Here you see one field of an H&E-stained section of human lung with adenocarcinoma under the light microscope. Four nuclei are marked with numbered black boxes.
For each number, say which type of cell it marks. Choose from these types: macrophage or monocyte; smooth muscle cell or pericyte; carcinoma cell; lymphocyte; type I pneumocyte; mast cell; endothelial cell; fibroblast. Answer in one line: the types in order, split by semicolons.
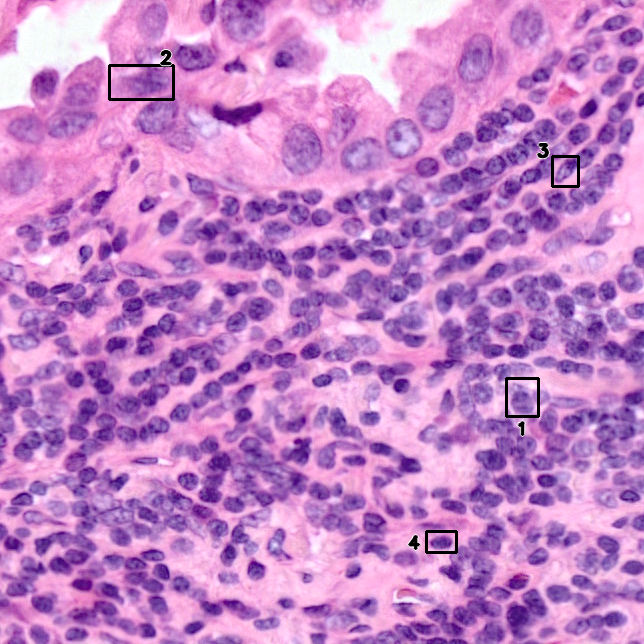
lymphocyte; carcinoma cell; lymphocyte; lymphocyte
